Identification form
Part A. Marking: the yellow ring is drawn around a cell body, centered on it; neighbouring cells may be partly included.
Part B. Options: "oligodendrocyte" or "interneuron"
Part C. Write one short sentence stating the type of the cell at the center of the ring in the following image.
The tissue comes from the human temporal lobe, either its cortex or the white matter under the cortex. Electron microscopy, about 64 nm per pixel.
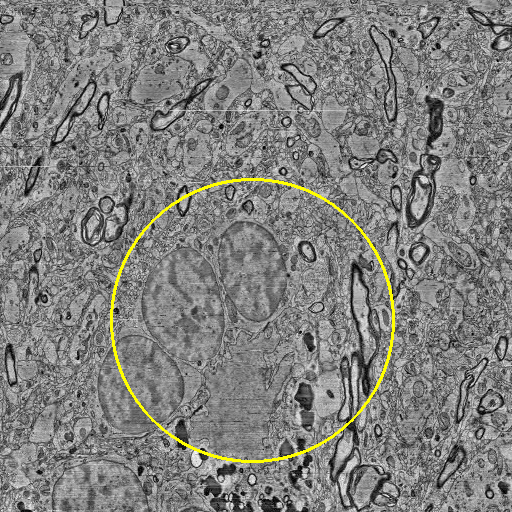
The center of the ring holds an oligodendrocyte.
